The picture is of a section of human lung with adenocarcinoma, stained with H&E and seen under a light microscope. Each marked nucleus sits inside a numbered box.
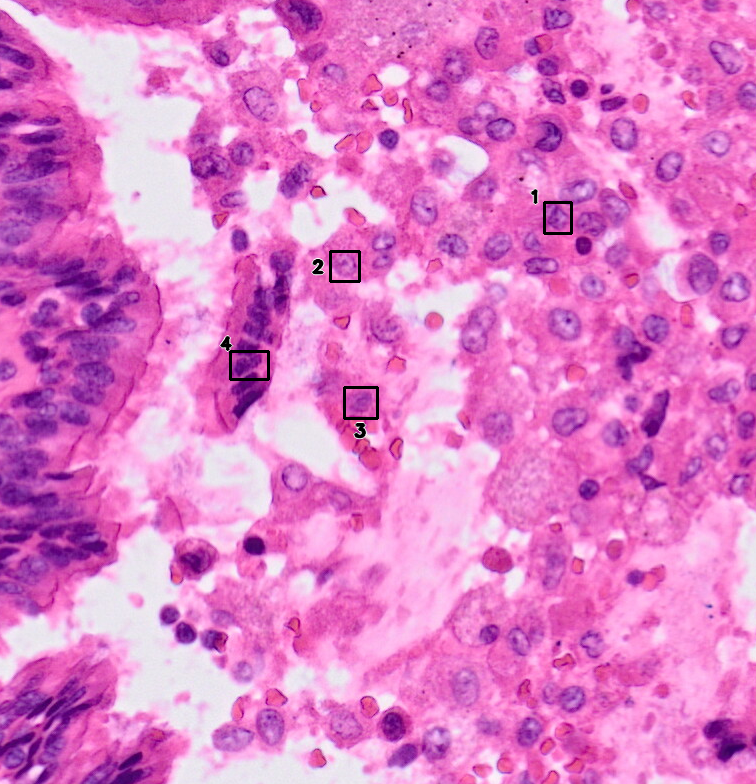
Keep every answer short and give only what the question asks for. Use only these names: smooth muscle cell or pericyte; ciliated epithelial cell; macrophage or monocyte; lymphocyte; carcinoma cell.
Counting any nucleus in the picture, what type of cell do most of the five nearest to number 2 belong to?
macrophage or monocyte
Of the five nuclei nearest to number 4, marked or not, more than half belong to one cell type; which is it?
ciliated epithelial cell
